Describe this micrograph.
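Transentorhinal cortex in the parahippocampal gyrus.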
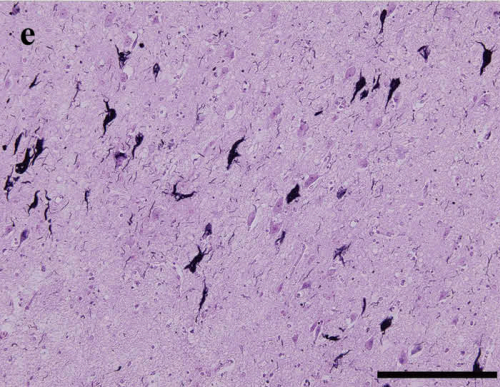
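Cortical grey matter in which several neurons carry black, flame-shaped neurofibrillary tangles filling their cell bodies and extending into the proximal processes. Short, fine black neuropil threads are scattered between them against a pale purple background with unstained neurons and glial nuclei.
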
